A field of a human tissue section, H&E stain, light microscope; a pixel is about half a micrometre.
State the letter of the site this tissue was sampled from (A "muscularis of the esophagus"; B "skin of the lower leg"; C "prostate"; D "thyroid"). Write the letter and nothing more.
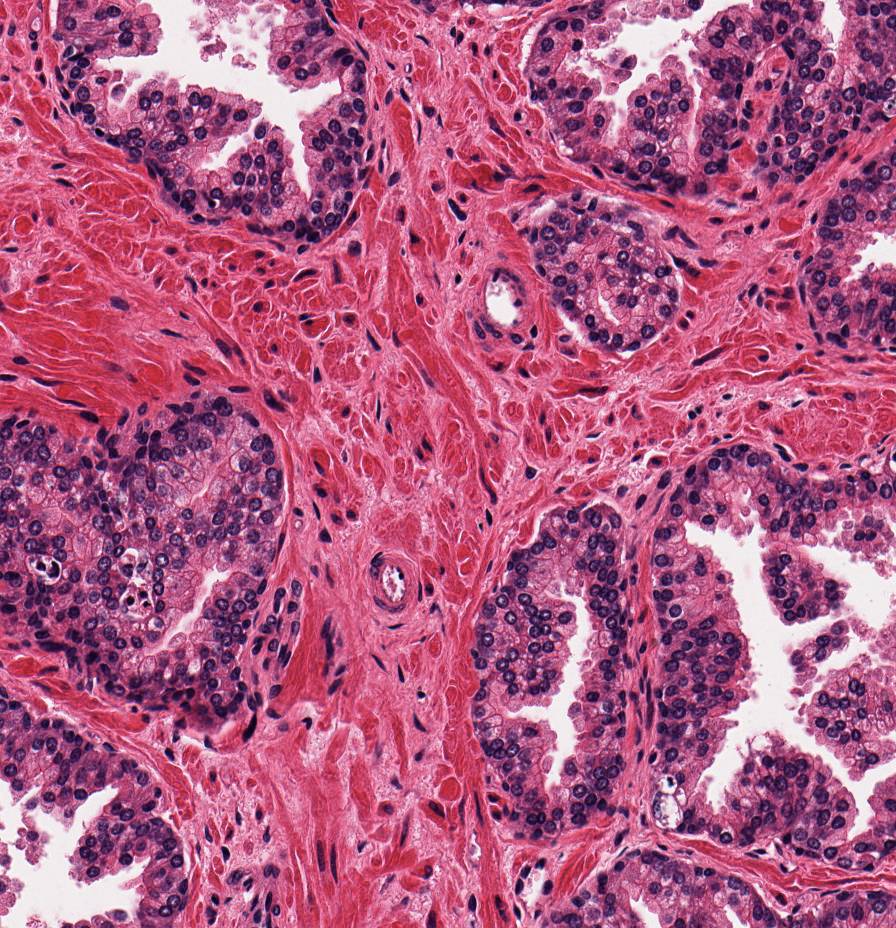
C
